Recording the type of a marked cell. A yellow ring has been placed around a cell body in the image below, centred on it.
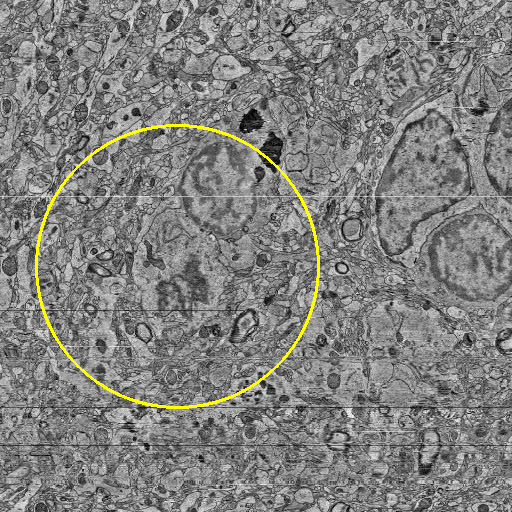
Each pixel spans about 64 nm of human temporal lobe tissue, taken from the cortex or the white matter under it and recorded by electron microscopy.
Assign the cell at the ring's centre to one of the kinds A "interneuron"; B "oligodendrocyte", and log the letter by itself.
A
